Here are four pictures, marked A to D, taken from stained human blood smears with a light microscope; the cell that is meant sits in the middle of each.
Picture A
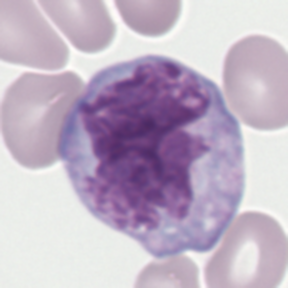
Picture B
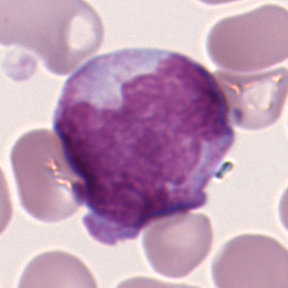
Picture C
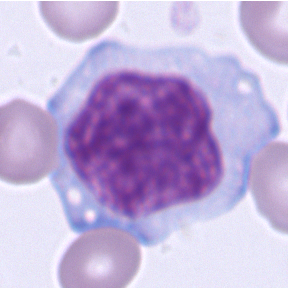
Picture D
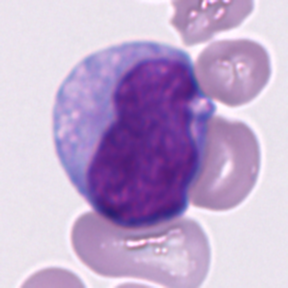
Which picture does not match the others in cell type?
C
